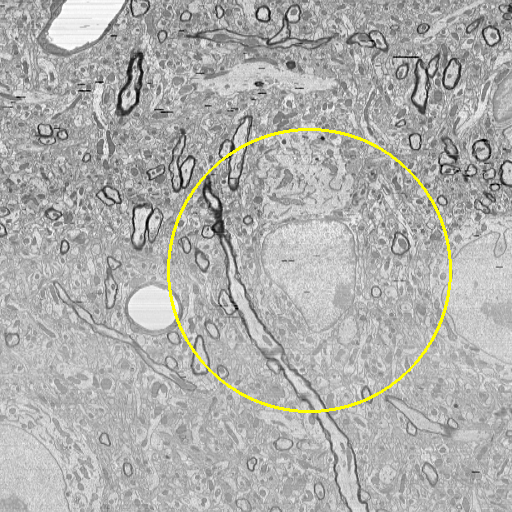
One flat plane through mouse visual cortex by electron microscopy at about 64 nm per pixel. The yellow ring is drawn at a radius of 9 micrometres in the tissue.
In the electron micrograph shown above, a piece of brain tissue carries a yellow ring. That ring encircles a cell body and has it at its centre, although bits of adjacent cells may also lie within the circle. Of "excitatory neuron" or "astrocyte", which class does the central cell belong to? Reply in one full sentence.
The cell body at the centre of the yellow ring belongs to an astrocyte.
